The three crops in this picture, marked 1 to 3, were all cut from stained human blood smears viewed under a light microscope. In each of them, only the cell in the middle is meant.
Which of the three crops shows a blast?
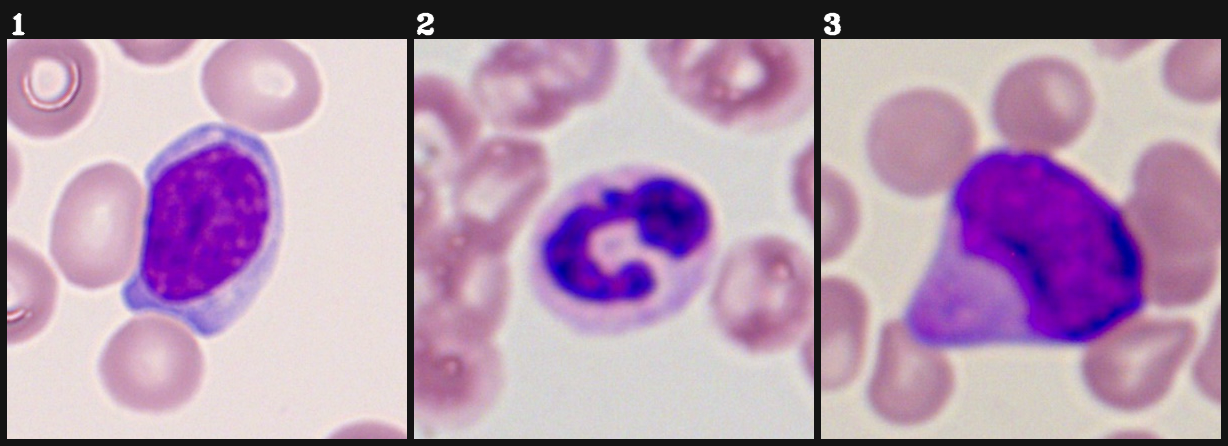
3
